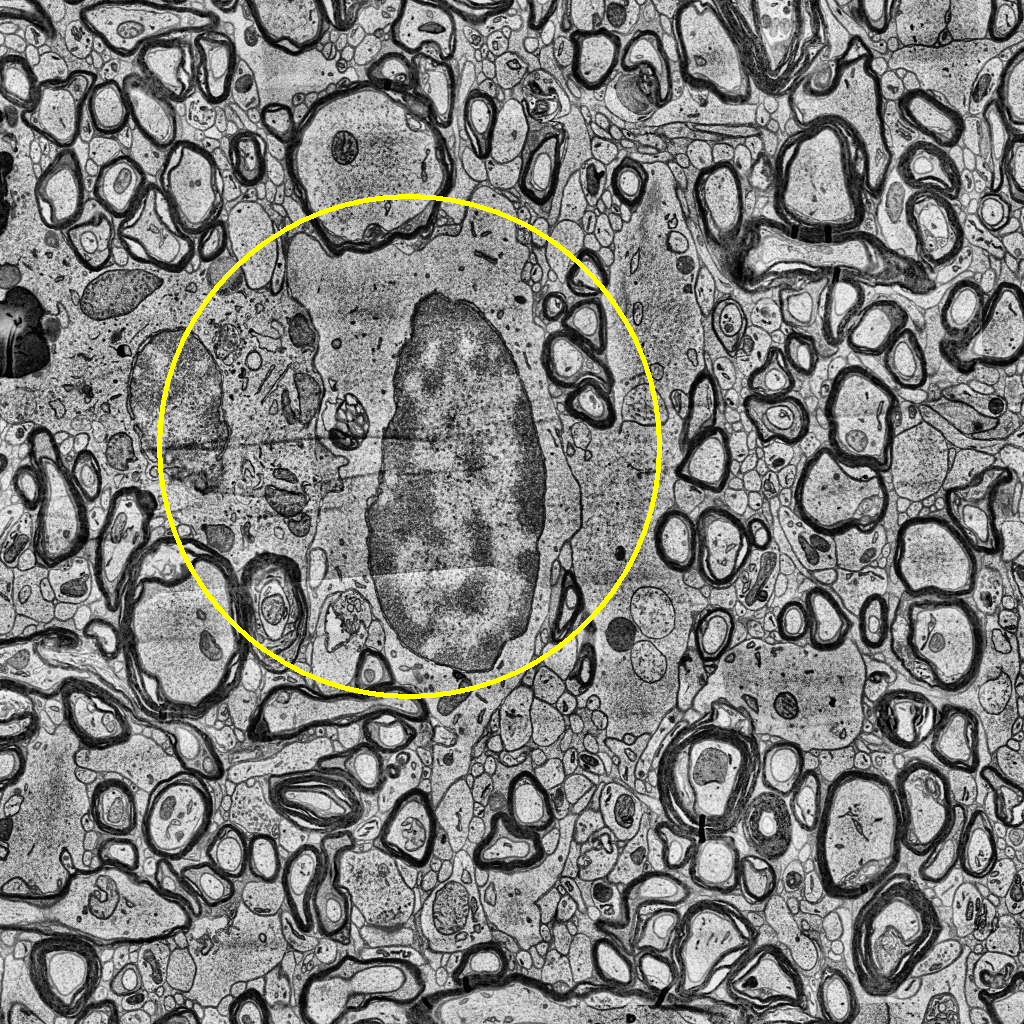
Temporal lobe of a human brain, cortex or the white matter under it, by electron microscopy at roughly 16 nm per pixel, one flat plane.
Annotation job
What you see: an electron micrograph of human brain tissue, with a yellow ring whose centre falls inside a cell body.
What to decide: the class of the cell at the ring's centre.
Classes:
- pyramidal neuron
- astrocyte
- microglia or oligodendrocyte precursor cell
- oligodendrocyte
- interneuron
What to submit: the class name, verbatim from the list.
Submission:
microglia or oligodendrocyte precursor cell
